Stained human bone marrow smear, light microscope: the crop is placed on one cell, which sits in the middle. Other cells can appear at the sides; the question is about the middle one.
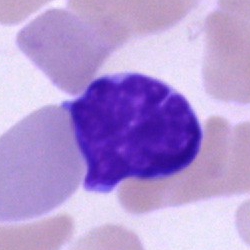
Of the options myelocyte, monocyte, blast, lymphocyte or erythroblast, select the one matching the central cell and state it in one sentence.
In the middle of this smear crop, the cell is a lymphocyte.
